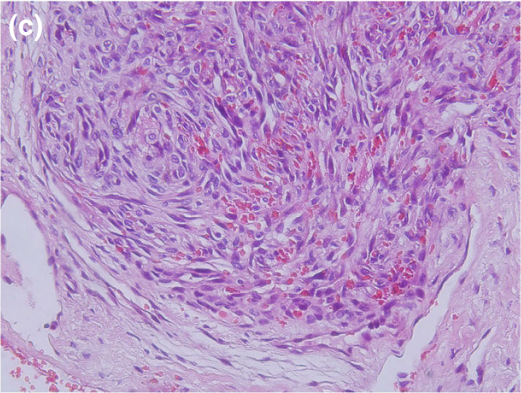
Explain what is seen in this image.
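A rounded, densely cellular lobule of plump spindle and oval cells is packed around many small capillary lumens, several of them filled with red blood cells. The nuclei are elongated to oval and dark purple, with pale pink cytoplasm, and the cells whorl around the small vessels. The lobule sits in looser, pale stroma, with a thin-walled dilated vessel at its left edge.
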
